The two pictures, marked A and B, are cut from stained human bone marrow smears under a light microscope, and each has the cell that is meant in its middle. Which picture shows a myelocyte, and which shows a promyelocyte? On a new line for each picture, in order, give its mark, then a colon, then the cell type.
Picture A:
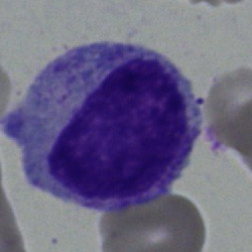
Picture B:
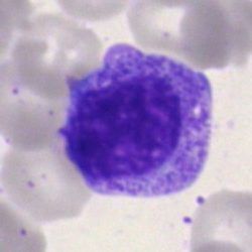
A: promyelocyte
B: myelocyte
